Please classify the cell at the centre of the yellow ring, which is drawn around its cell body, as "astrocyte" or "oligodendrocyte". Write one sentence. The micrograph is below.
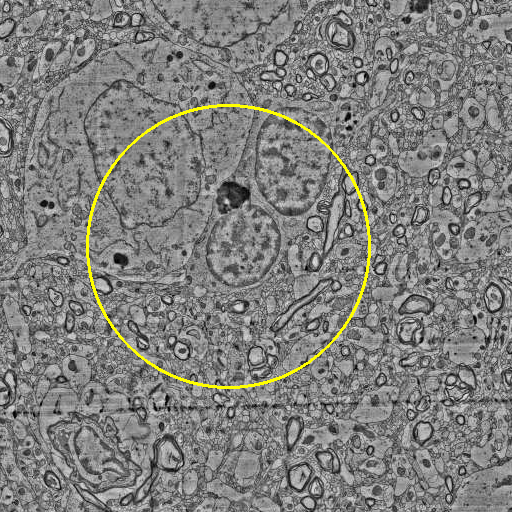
The cell at the ring's centre is classified as an oligodendrocyte.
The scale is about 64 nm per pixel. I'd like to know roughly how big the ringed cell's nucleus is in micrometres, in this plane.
In this plane the nucleus is about 5 micrometres across.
